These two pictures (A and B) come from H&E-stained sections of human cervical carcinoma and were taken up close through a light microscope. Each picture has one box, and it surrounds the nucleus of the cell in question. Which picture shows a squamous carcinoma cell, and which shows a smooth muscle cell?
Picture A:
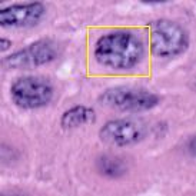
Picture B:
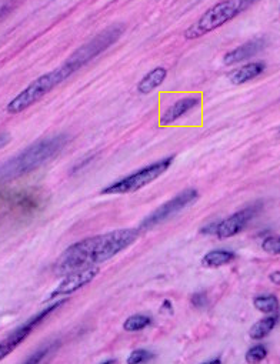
A: squamous carcinoma cell
B: smooth muscle cell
